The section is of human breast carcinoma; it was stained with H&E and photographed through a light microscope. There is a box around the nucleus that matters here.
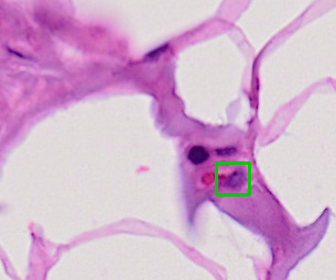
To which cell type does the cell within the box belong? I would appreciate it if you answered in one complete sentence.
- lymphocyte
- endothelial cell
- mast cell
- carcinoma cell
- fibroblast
For cell typing purposes, the cell within the box is an endothelial cell.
